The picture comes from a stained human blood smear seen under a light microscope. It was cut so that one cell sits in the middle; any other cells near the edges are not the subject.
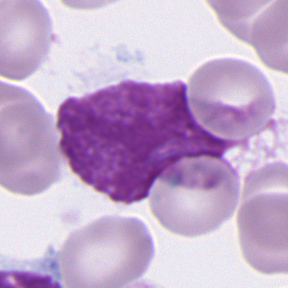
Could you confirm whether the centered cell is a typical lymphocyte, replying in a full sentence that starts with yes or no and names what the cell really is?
No, that guess of a typical lymphocyte misses; the central cell is a smudge cell.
